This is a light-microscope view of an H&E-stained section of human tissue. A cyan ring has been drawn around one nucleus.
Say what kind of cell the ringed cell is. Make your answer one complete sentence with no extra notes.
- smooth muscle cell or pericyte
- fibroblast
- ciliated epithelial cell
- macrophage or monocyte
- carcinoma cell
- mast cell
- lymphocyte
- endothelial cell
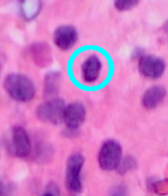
It is as a lymphocyte that the ringed cell is classified.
